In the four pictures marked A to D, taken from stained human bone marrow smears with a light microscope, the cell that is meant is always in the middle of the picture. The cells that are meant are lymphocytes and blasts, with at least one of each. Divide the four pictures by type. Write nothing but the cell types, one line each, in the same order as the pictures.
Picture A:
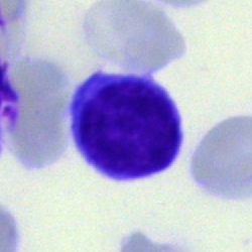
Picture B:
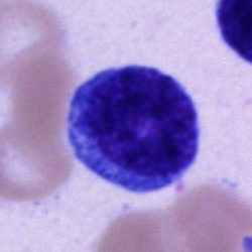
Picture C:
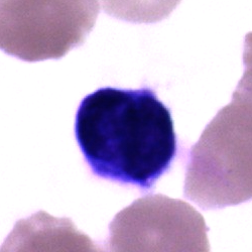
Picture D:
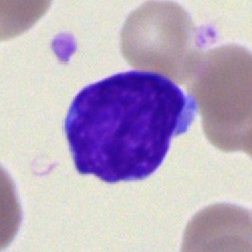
lymphocyte
blast
lymphocyte
lymphocyte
